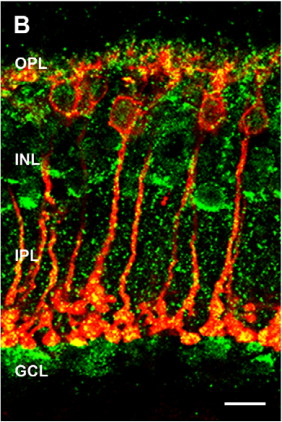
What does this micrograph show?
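This section of retina shows rod bipolar cells spanning the inner nuclear and inner plexiform layers. Their red cell bodies lie in a row at the outer edge of the inner nuclear layer, directly beneath the outer plexiform layer, which carries red and yellow dendritic tufts. From each cell body a single slender red axon runs vertically through the inner nuclear and inner plexiform layers. The axons end in clusters of bulbous red and yellow terminals at the innermost part of the inner plexiform layer, bordering the ganglion cell layer. Fine green puncta are scattered throughout the inner layers, with yellow where they overlap the red terminals.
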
